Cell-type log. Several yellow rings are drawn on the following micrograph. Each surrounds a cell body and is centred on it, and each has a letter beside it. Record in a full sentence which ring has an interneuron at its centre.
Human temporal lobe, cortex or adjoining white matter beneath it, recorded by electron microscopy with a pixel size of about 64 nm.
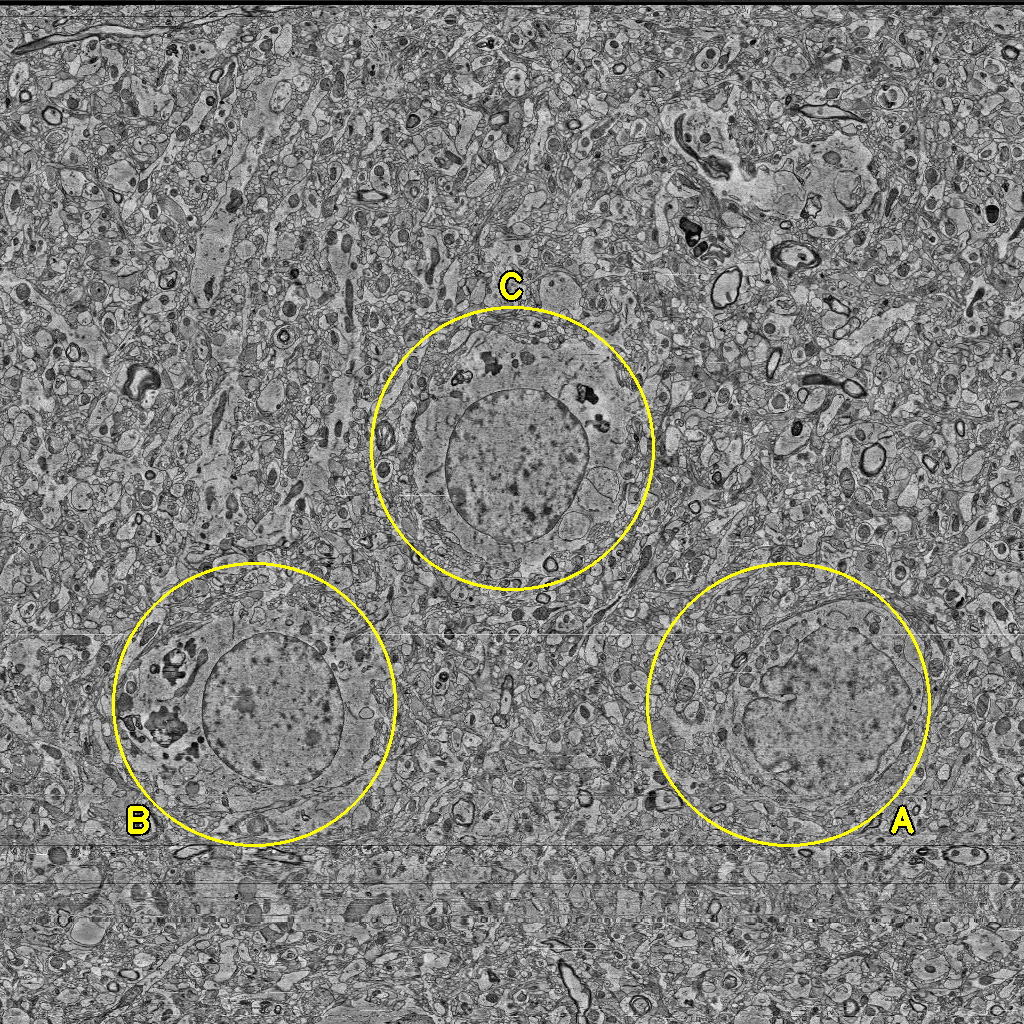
Ring A has it at its centre.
